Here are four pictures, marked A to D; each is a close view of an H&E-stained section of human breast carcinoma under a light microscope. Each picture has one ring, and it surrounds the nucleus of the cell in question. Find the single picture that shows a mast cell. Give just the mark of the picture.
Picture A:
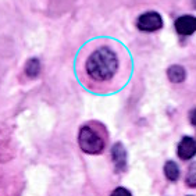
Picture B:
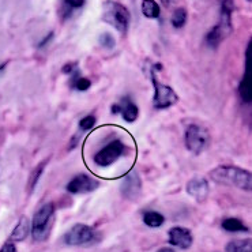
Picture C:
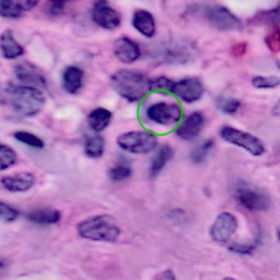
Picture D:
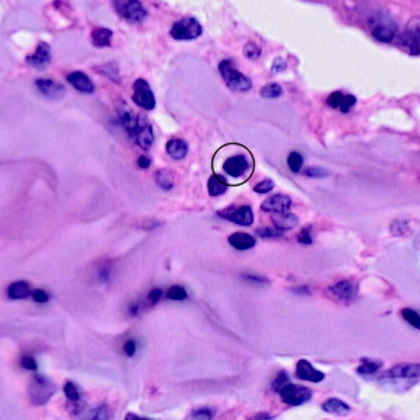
A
